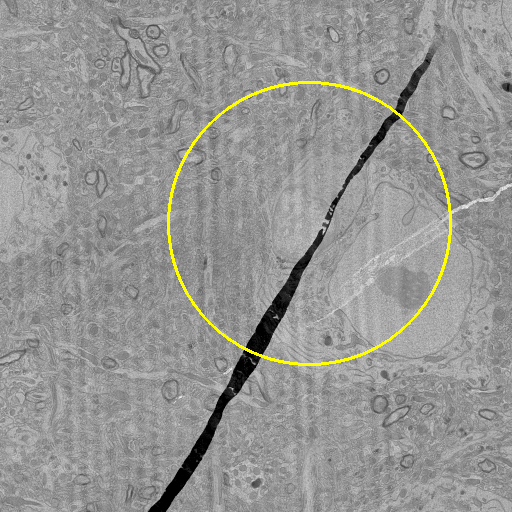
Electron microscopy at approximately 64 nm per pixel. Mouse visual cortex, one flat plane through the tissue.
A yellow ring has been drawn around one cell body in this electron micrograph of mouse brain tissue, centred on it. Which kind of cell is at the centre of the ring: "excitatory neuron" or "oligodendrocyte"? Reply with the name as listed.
oligodendrocyte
